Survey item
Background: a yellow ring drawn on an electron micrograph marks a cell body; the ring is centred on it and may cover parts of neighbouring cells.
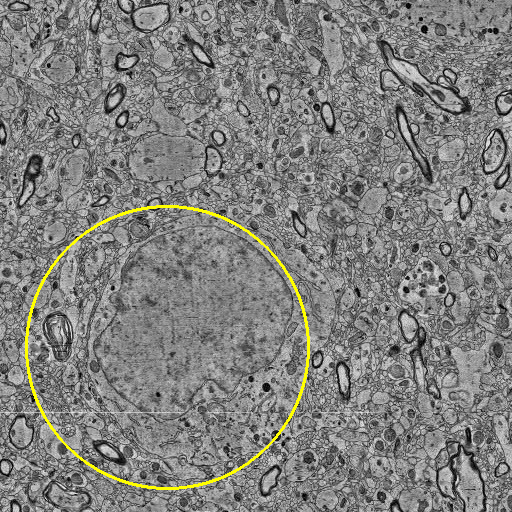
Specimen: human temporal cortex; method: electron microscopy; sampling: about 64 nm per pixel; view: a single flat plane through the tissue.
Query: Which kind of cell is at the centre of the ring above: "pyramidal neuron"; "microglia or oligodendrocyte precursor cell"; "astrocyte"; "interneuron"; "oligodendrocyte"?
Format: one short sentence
The cell in the middle of the ring is an interneuron.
